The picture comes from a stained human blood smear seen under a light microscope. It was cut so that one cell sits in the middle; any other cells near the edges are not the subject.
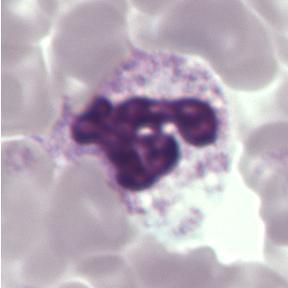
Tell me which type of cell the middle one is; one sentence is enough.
The centrally located cell in the crop is a segmented neutrophil.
